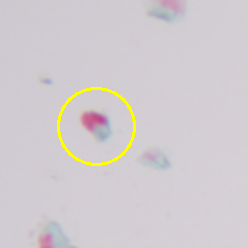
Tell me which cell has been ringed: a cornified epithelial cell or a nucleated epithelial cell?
It is a nucleated epithelial cell.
